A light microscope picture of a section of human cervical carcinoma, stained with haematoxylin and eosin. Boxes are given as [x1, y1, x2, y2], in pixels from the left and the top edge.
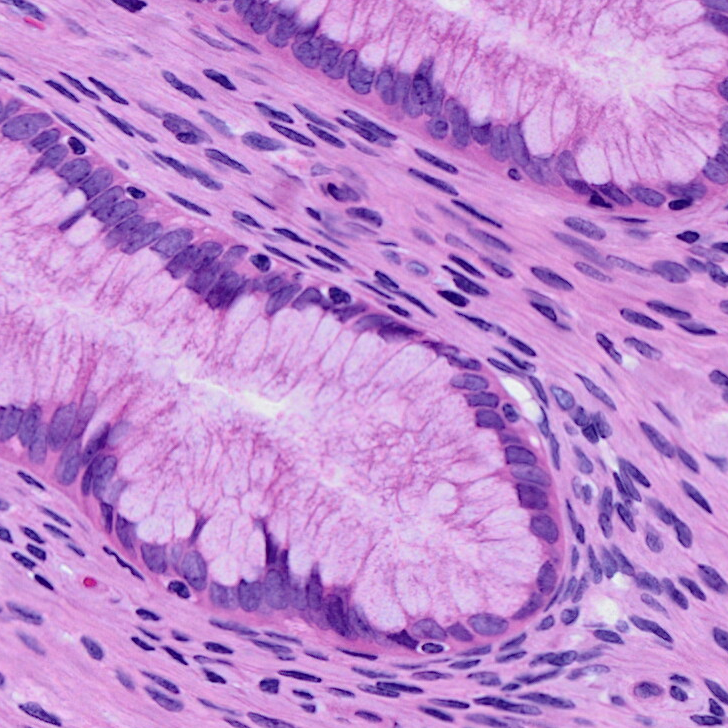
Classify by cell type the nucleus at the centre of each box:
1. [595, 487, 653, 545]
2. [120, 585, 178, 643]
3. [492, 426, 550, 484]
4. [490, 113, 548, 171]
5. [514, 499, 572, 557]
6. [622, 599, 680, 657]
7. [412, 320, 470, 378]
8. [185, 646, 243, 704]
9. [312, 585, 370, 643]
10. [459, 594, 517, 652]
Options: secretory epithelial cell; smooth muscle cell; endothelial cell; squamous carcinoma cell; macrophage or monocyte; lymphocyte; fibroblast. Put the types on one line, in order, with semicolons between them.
fibroblast; fibroblast; secretory epithelial cell; secretory epithelial cell; secretory epithelial cell; fibroblast; secretory epithelial cell; fibroblast; secretory epithelial cell; secretory epithelial cell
